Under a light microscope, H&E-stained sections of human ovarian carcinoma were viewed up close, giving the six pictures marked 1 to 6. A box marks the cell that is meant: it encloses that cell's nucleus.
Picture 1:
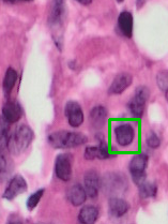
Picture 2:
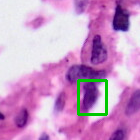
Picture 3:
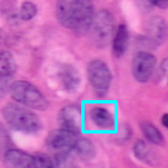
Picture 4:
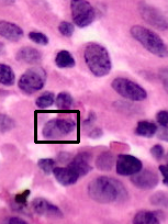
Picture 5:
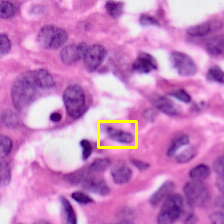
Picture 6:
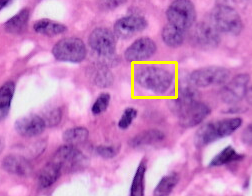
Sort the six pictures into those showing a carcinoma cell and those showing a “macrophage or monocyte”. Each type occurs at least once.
1: macrophage or monocyte
2: carcinoma cell
3: macrophage or monocyte
4: macrophage or monocyte
5: macrophage or monocyte
6: carcinoma cell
